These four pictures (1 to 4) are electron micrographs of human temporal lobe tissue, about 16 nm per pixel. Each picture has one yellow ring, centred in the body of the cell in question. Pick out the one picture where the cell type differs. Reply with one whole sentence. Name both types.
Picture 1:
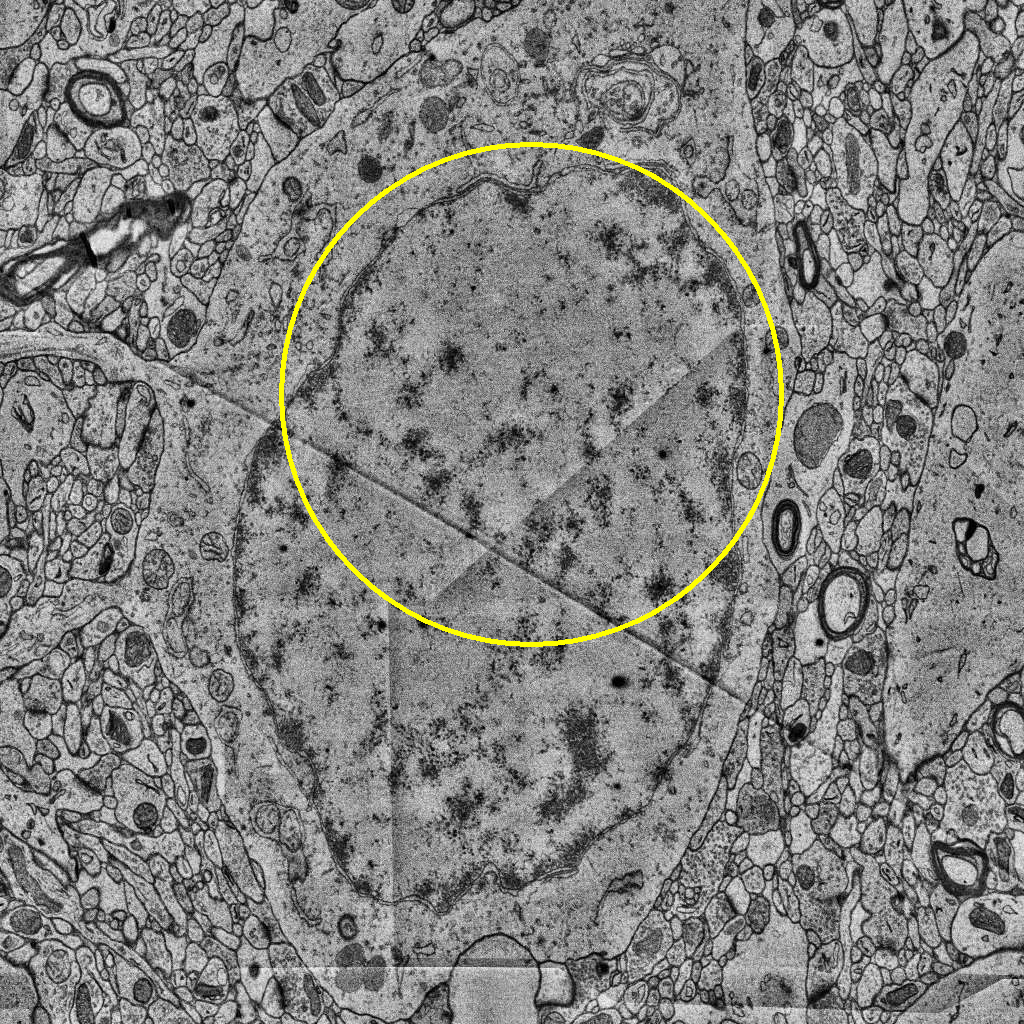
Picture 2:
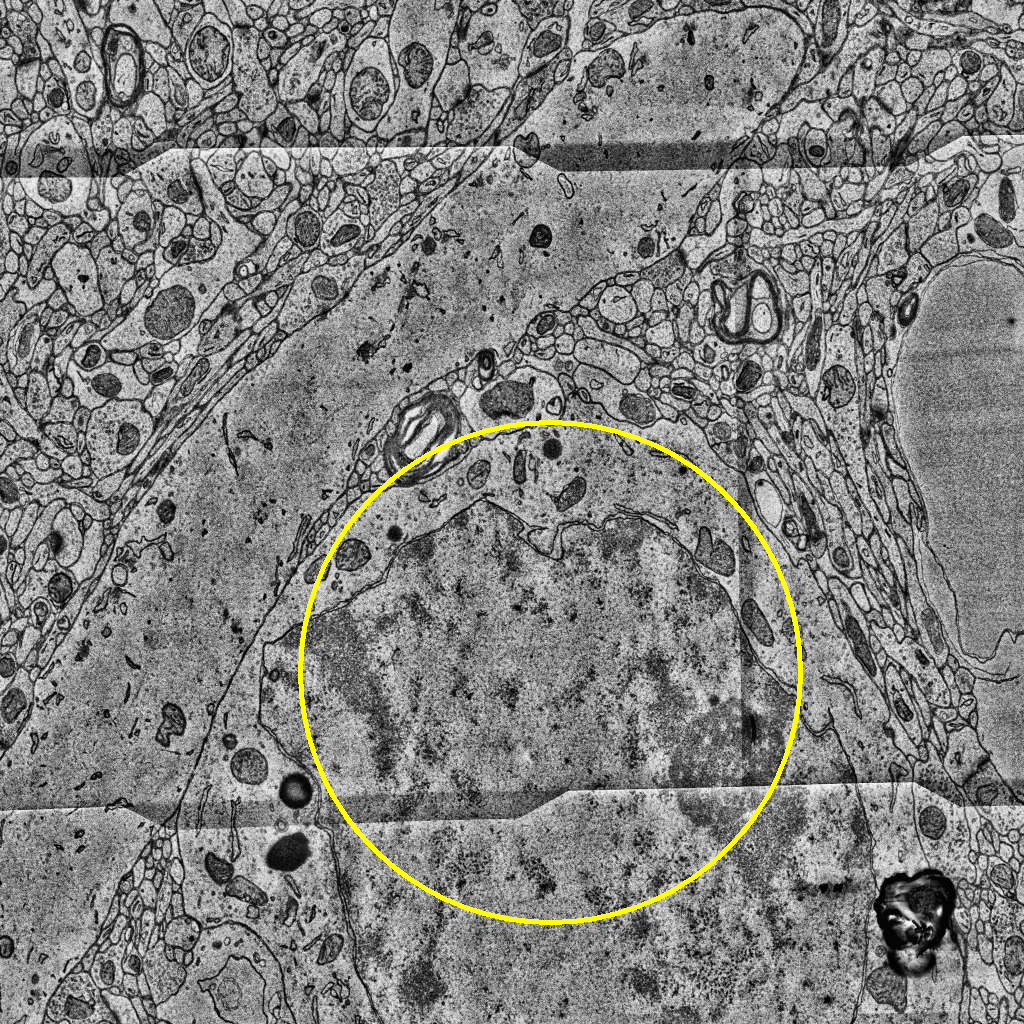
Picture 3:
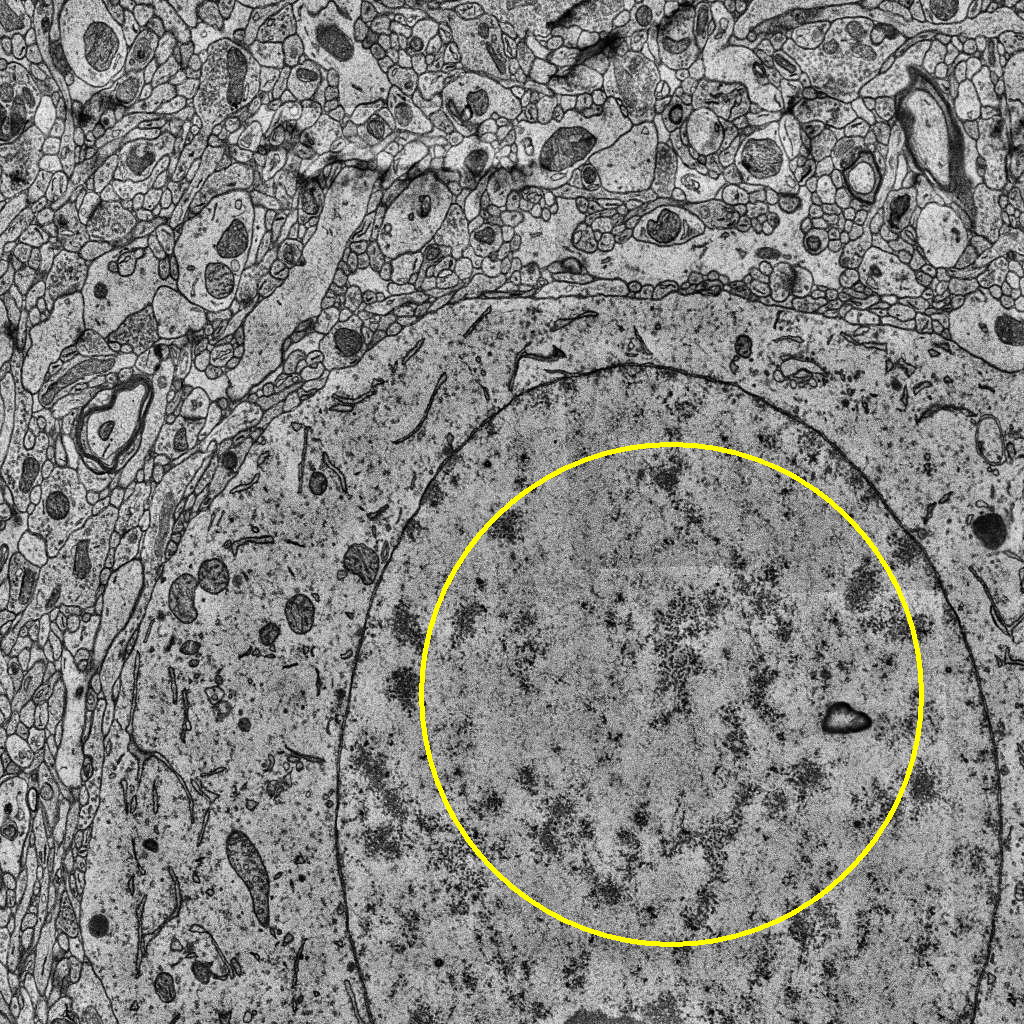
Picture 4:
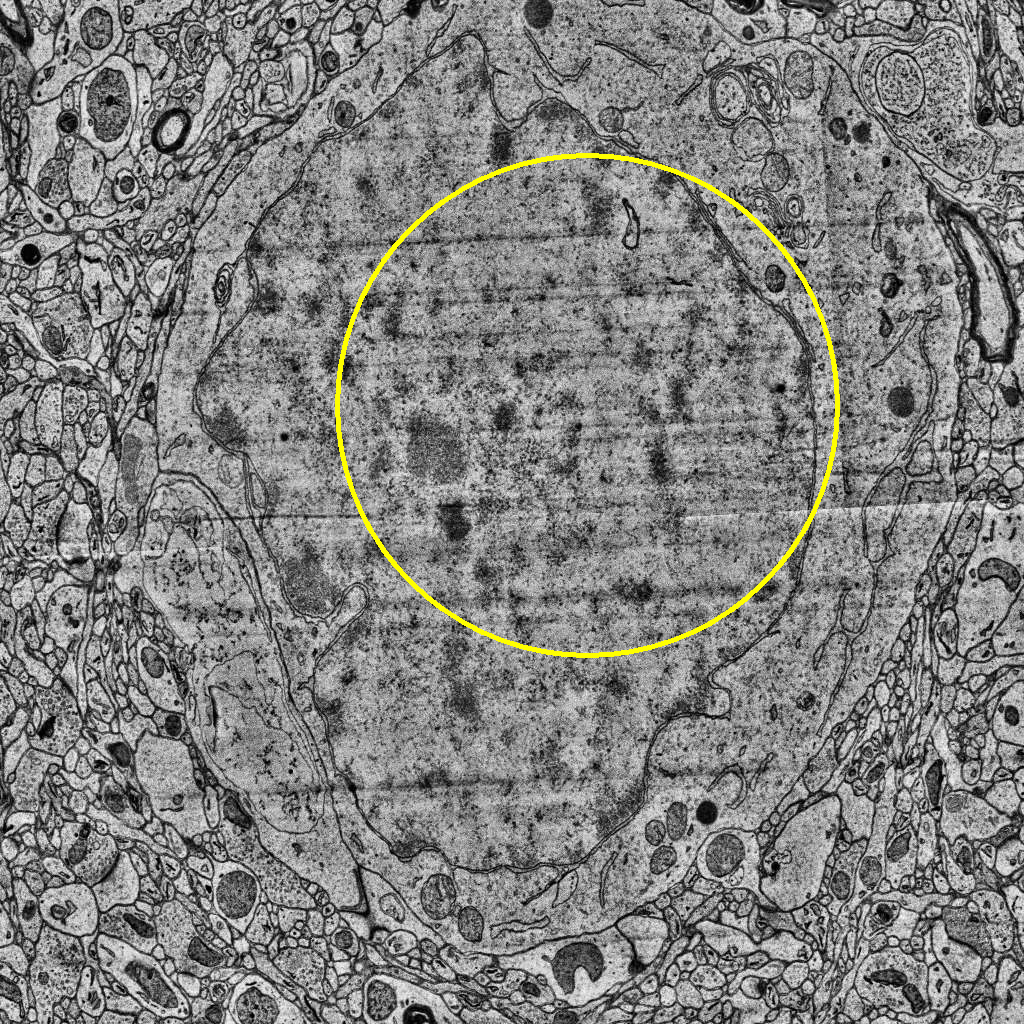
The others show interneurons, but picture 3 shows a pyramidal neuron.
